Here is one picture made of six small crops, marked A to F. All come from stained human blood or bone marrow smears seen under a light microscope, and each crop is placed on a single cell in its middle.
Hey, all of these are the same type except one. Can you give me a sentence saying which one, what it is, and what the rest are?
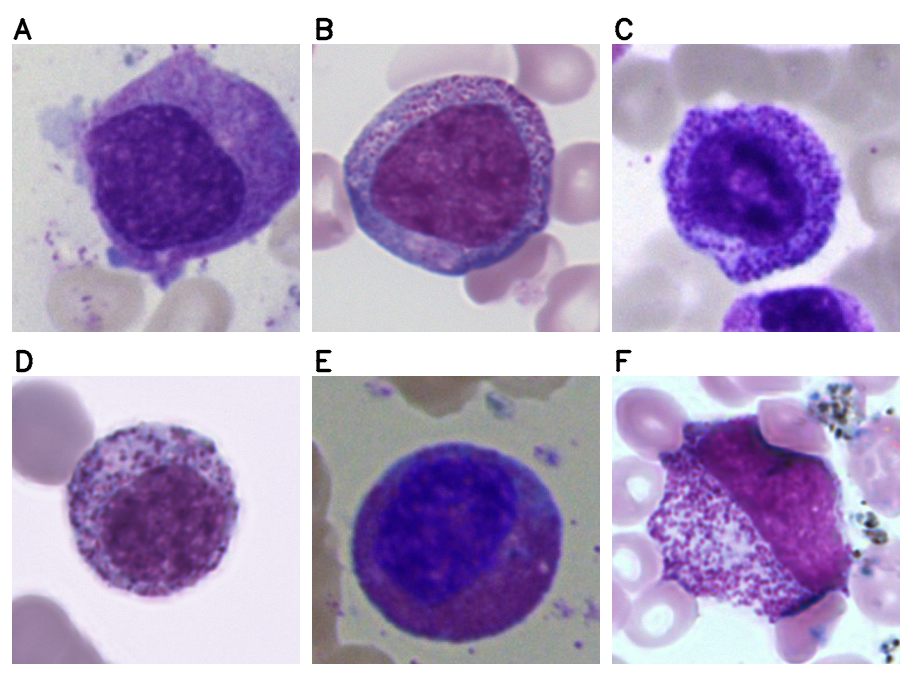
Crop E is the exception in this set, showing an eosinophil while the others show promyelocytes.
